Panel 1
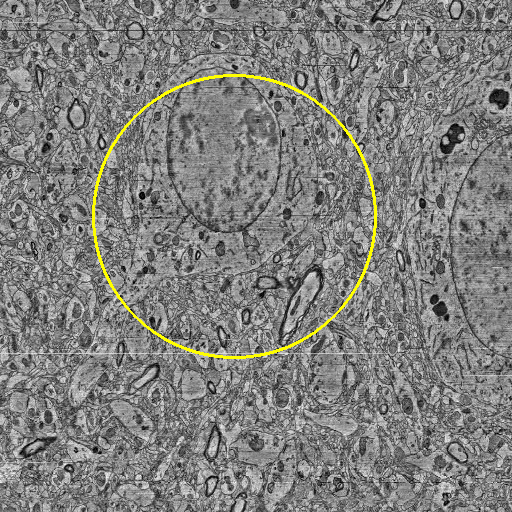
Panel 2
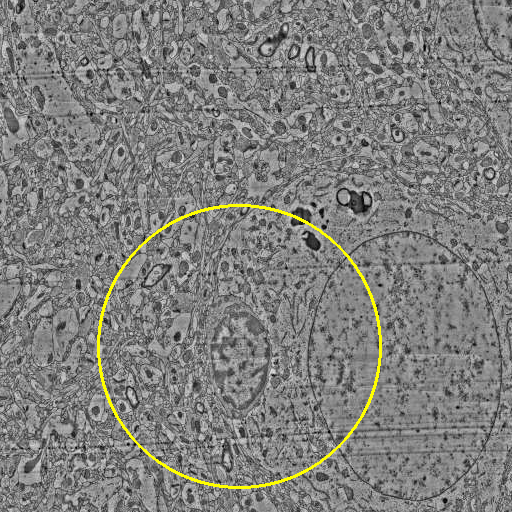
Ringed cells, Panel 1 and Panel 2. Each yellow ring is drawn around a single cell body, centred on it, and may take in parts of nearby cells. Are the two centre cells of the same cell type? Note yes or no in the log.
no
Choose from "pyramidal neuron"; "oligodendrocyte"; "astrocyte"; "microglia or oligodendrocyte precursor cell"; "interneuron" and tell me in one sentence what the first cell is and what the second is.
What the first ring is centred on is a pyramidal neuron; what the second ring is centred on is an oligodendrocyte.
